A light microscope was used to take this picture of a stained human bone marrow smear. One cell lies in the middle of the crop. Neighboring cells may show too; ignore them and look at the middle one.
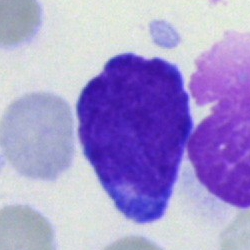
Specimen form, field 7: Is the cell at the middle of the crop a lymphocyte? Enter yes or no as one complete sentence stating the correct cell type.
No, in the middle of the crop there is a blast rather than a lymphocyte.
